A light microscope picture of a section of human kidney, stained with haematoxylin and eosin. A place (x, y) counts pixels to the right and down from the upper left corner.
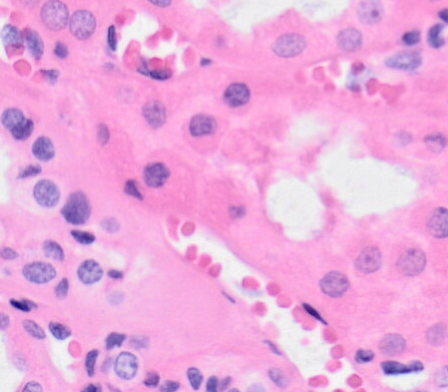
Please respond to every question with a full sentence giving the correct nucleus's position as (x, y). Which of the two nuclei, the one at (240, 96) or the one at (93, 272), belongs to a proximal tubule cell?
Between the two nuclei, the one sitting at (240, 96) belongs to a proximal tubule cell.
